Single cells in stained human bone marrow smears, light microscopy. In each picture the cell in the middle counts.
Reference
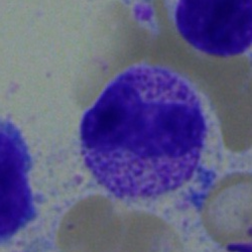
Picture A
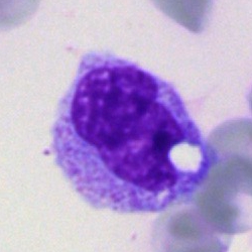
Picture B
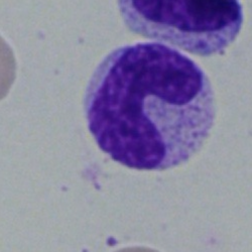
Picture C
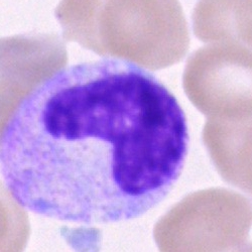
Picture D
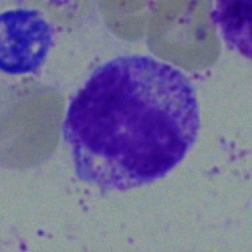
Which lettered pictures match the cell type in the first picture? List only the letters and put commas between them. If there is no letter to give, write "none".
A, C, D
